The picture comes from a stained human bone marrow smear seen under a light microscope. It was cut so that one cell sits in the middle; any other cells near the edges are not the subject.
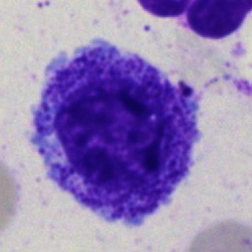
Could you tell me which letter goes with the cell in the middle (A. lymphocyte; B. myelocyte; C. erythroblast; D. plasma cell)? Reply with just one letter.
B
